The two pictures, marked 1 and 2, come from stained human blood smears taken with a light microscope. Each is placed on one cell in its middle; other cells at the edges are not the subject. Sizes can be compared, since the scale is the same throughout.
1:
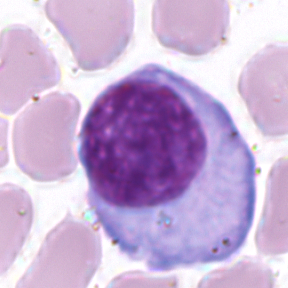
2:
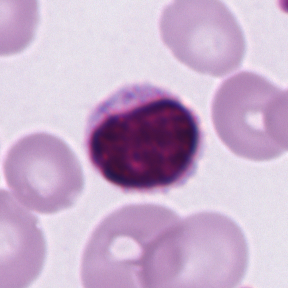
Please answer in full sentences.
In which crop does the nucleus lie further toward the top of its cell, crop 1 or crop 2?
It is the nucleus in crop 1 that lies further toward the top of its cell.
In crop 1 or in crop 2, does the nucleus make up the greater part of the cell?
In crop 2 the nucleus takes up the larger part of its cell.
